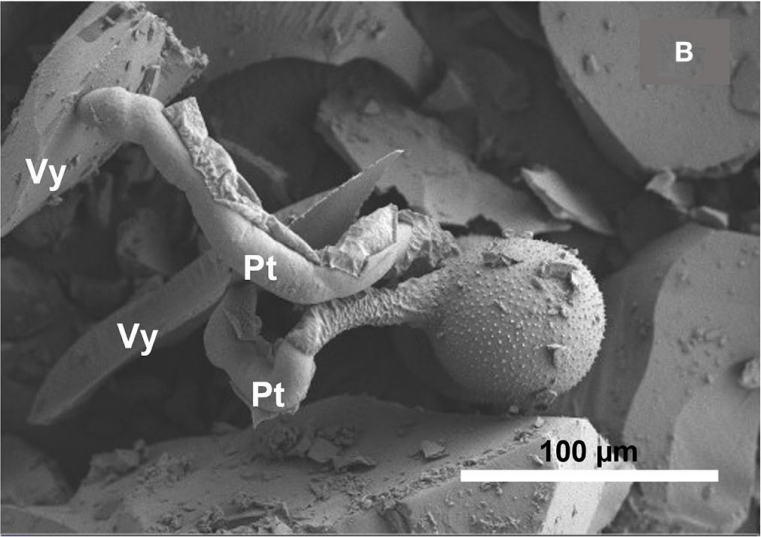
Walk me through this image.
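A spherical pollen grain studded with small spines lies among angular substrate fragments and has put out a long pollen tube. Along the tube the outer layer is fractured and peels away in thin crumpled sheets that unwind from the tube surface.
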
